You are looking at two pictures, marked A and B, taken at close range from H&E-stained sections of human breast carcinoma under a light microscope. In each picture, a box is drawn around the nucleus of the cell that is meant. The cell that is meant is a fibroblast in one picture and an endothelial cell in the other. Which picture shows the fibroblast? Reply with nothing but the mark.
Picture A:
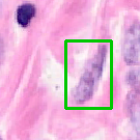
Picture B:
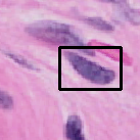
A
